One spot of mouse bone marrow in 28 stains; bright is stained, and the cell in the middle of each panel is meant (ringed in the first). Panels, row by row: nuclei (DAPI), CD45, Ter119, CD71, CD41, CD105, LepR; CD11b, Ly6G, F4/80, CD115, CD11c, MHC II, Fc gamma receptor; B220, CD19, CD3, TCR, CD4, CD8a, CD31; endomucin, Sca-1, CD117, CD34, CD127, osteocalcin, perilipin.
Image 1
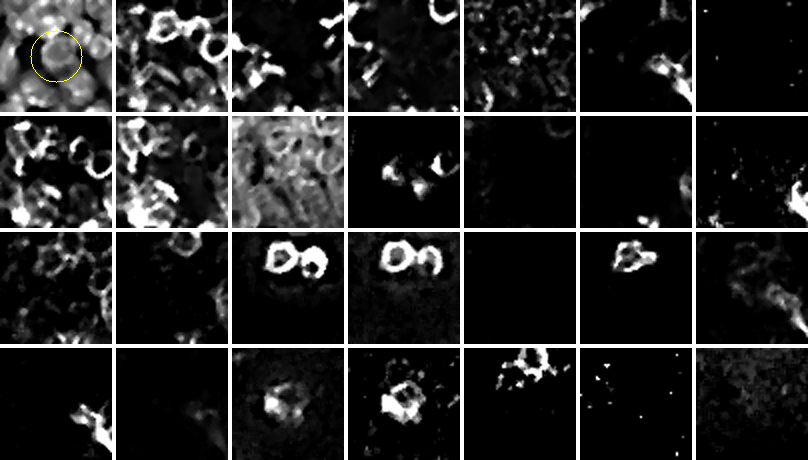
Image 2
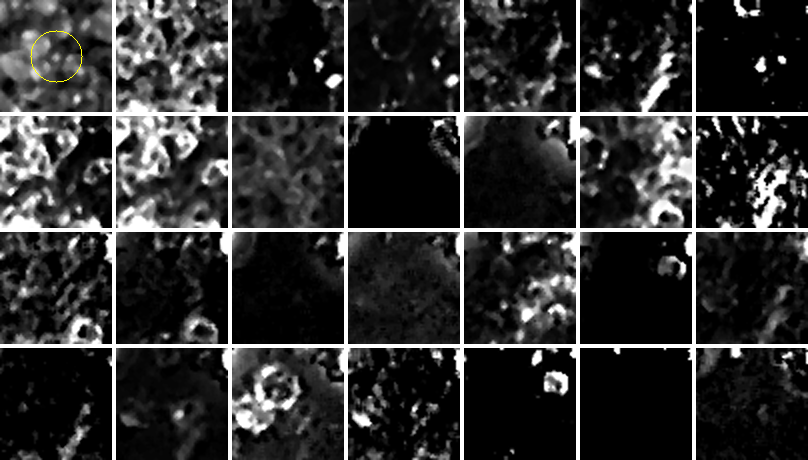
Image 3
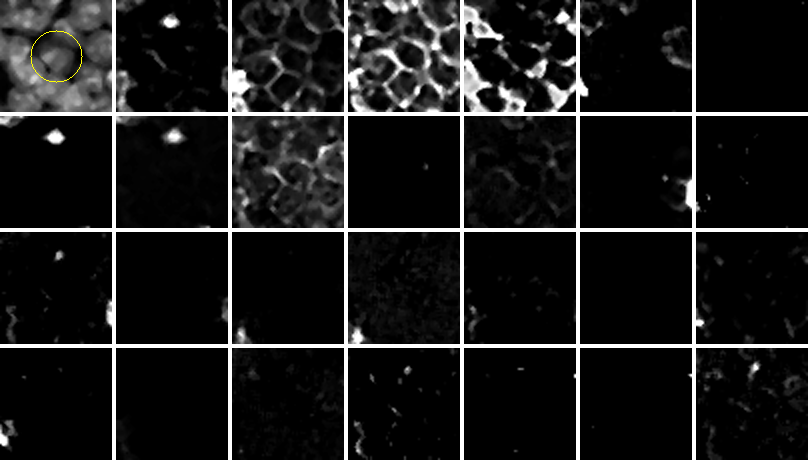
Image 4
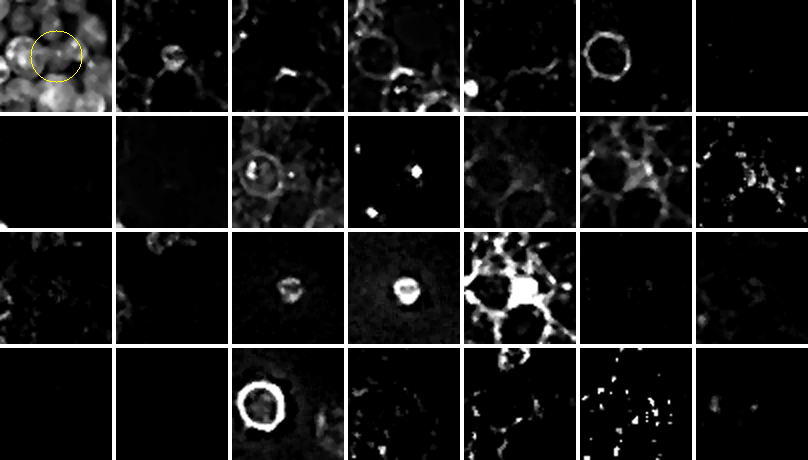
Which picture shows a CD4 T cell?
Picture 4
